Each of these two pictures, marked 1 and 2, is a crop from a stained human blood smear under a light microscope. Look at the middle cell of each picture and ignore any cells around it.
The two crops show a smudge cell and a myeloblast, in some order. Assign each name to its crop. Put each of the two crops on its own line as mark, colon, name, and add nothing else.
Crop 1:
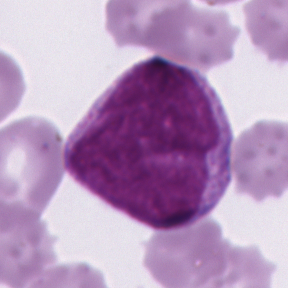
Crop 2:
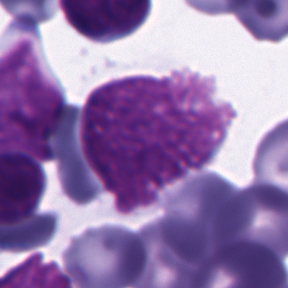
1: myeloblast
2: smudge cell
